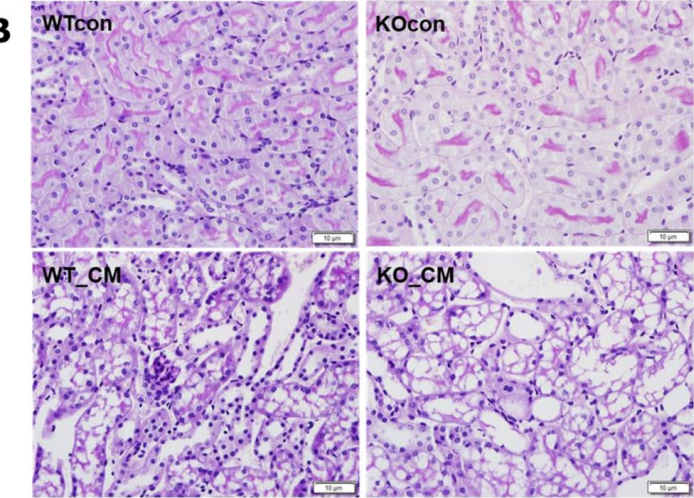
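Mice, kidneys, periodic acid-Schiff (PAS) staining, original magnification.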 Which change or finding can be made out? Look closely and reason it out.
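Tubular dilatation and vacuolization. In the lower two images the tubular epithelial cells are filled with many clear vacuoles. In the lower two images several tubular lumens are widened. The upper two images show compact tubules without such vacuoles.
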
